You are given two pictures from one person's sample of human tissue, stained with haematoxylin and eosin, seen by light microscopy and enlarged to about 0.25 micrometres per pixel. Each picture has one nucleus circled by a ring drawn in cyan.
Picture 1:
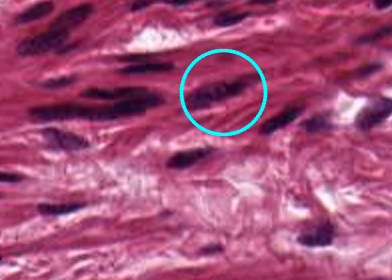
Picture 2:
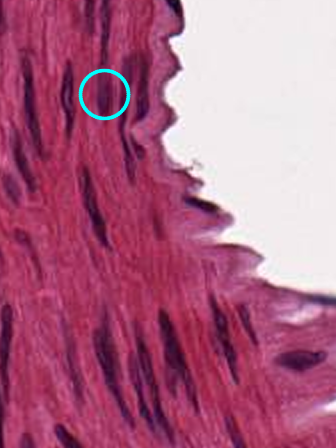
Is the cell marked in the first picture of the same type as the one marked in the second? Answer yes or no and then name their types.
Yes, both are smooth muscle cells.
